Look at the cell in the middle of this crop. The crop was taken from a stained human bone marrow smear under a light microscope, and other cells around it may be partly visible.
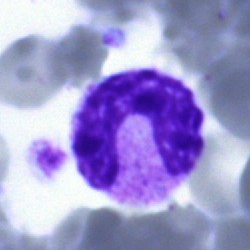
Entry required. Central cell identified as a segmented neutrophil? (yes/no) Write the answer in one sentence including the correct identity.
No, rather than being a segmented neutrophil, the central cell is a band neutrophil.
